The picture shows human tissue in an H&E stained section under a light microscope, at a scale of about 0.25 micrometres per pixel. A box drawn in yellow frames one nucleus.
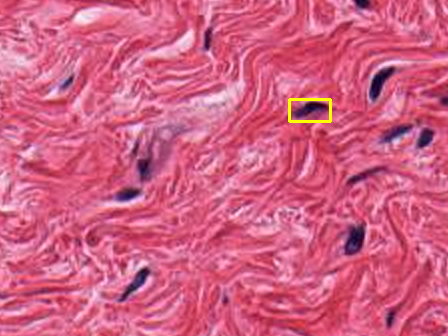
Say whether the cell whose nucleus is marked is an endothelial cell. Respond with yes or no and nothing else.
no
